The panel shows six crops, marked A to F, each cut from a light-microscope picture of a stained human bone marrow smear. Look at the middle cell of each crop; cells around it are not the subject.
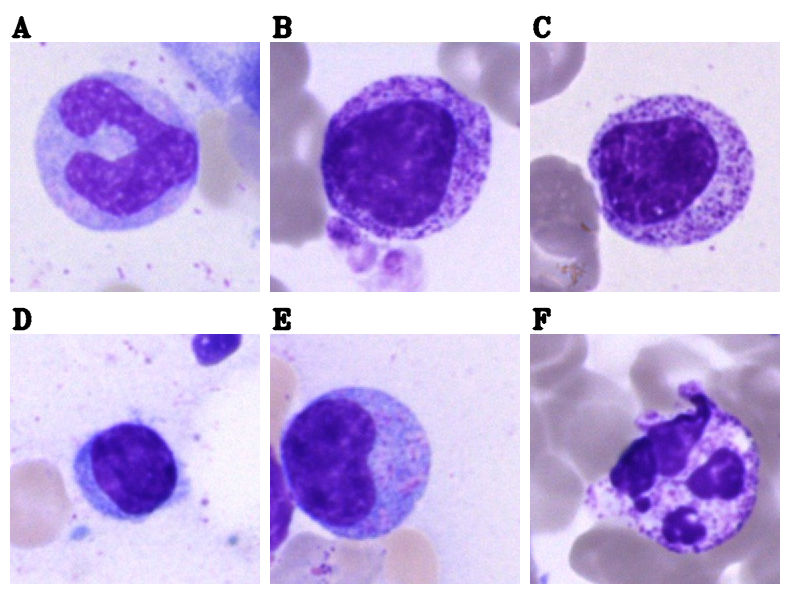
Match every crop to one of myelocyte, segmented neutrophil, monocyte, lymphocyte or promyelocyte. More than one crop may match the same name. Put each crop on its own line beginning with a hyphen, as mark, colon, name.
- A: monocyte
- B: myelocyte
- C: myelocyte
- D: lymphocyte
- E: myelocyte
- F: segmented neutrophil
